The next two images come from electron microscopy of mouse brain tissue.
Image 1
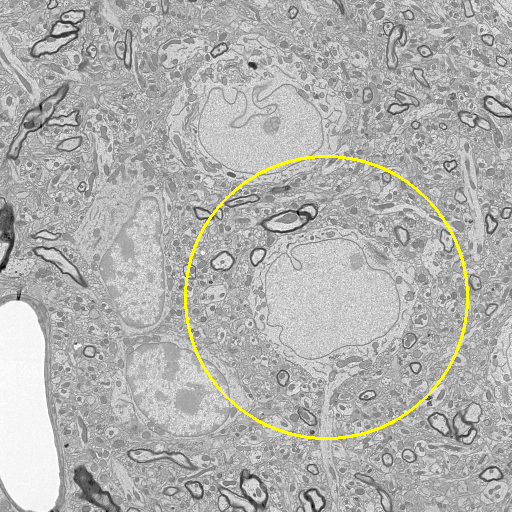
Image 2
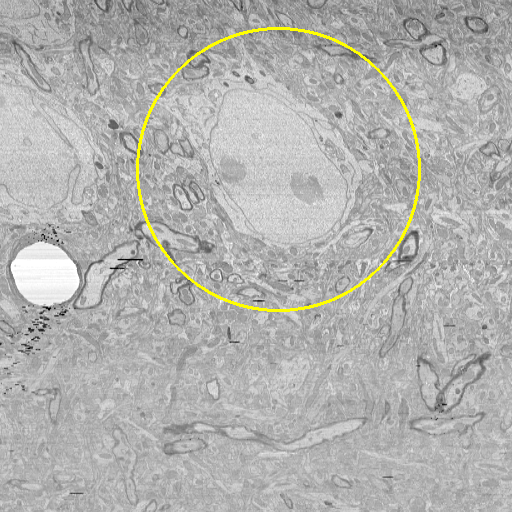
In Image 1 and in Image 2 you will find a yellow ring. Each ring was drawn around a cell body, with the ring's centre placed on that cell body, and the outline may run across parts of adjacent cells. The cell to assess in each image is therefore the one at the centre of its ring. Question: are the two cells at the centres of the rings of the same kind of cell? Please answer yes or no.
yes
